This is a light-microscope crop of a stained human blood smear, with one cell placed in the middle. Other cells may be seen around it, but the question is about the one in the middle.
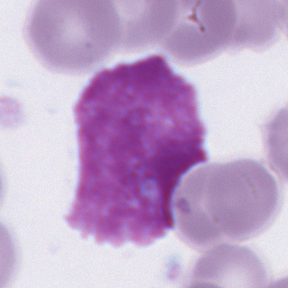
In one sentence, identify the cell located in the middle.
In the middle of this smear crop, the cell is a smudge cell.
